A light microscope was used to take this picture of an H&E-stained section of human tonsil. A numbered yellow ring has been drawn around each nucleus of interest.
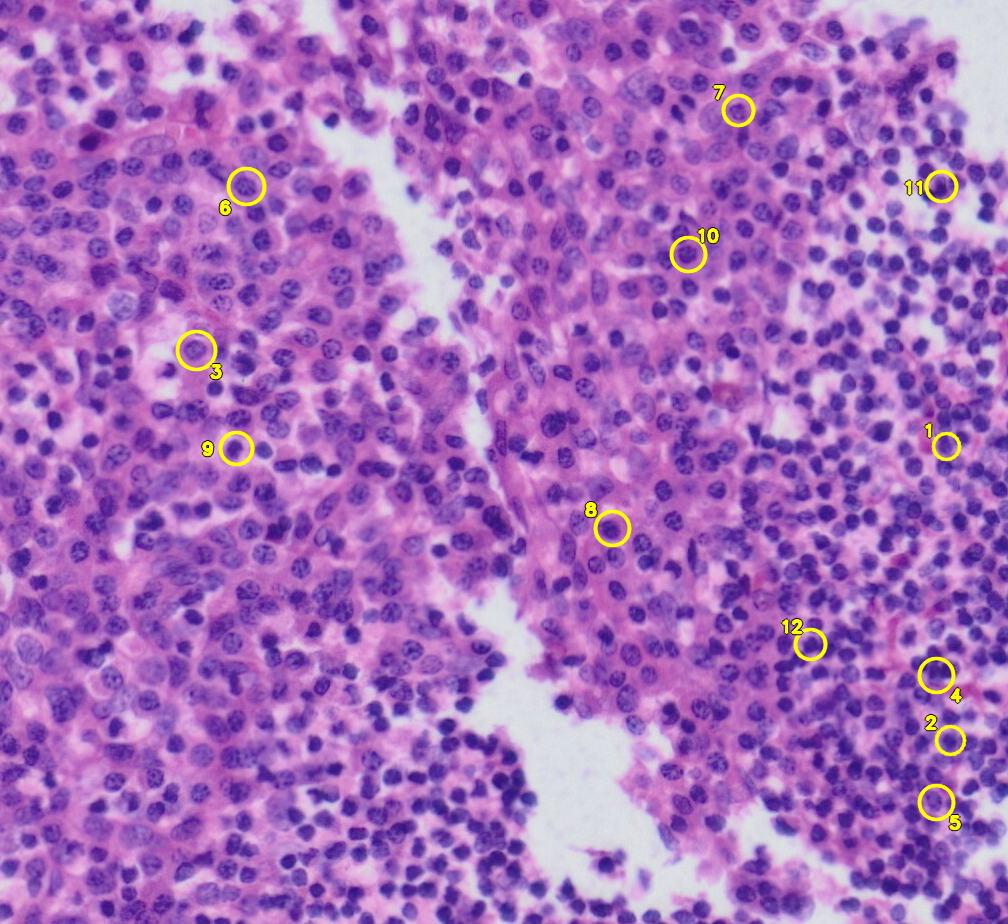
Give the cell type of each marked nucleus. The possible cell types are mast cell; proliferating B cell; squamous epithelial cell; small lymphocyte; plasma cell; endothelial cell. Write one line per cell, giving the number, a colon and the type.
1: small lymphocyte
2: small lymphocyte
3: plasma cell
4: small lymphocyte
5: small lymphocyte
6: plasma cell
7: plasma cell
8: plasma cell
9: plasma cell
10: plasma cell
11: small lymphocyte
12: small lymphocyte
